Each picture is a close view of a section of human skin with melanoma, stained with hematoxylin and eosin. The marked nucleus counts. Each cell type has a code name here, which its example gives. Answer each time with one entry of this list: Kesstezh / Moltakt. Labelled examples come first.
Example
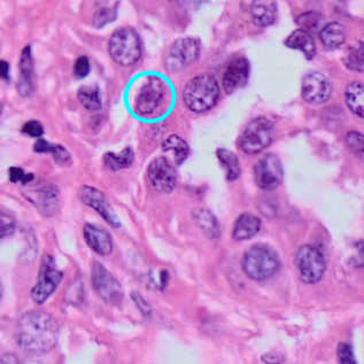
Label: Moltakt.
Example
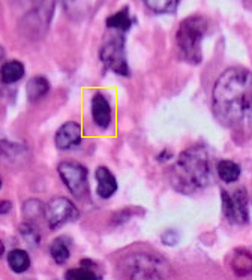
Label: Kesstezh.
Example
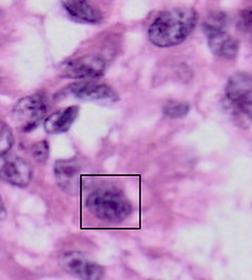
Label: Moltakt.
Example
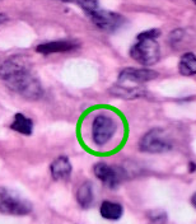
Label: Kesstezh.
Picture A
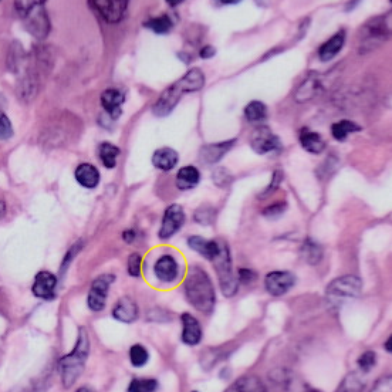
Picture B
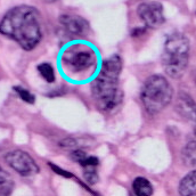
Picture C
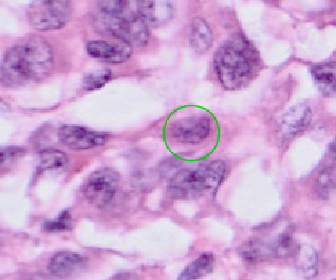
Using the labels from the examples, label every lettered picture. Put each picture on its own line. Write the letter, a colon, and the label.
A: Kesstezh.
B: Moltakt.
C: Moltakt.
